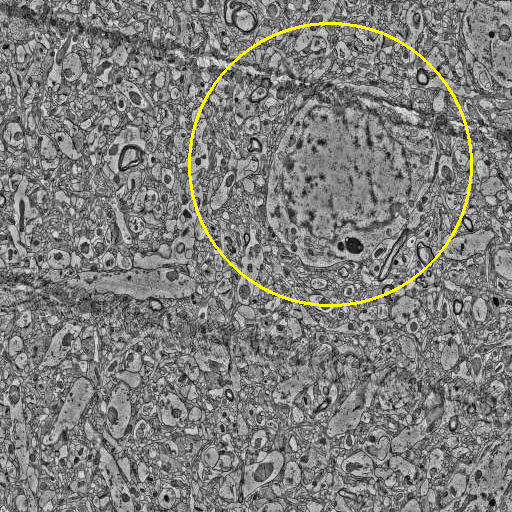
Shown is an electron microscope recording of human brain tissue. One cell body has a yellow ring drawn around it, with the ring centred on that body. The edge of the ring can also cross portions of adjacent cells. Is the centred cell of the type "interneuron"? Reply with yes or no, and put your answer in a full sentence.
Yes, in the picture, the cell on which the ring is centred has this type.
